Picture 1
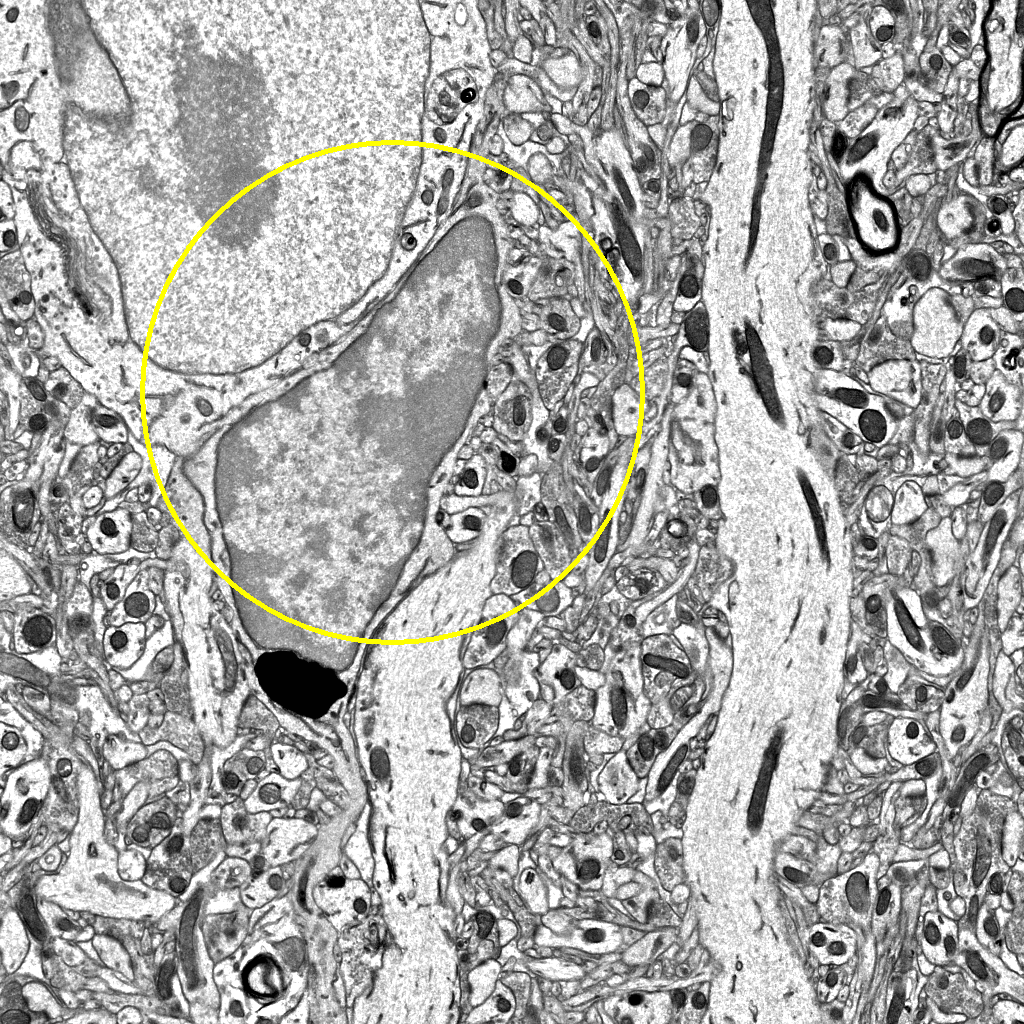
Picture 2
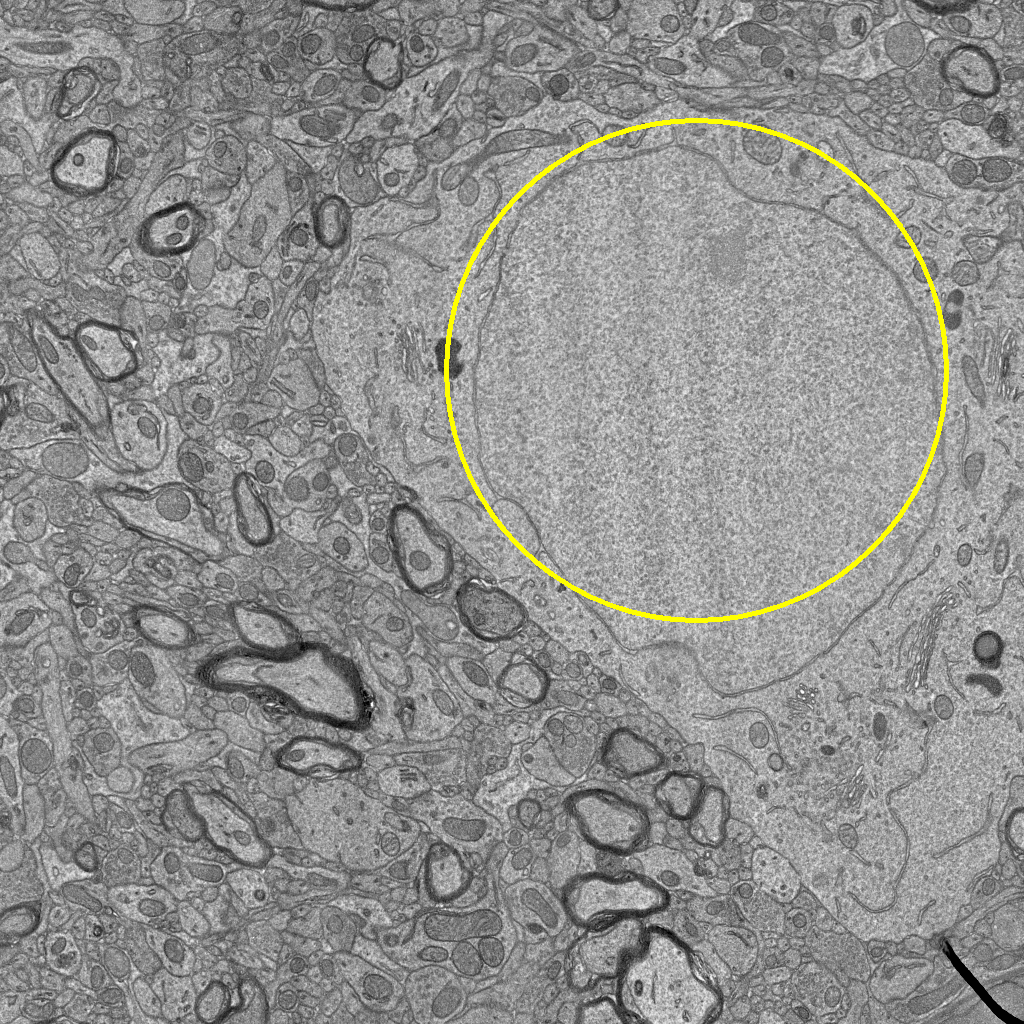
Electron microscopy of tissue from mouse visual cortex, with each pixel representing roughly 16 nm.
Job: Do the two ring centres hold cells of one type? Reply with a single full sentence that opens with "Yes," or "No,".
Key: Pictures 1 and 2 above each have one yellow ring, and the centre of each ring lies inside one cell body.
No, the cells at the two ring centres are of two separate types.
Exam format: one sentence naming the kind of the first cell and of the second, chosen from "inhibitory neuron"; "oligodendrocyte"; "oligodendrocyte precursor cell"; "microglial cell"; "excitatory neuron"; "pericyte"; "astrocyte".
The first picture shows a microglial cell at the ring centre and the second shows an excitatory neuron.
